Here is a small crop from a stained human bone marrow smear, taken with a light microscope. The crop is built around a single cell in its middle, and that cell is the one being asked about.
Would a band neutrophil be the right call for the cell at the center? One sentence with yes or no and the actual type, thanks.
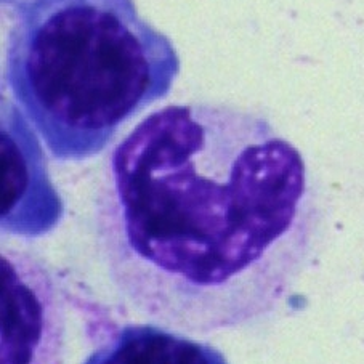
Yes, the central cell here is a band neutrophil.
